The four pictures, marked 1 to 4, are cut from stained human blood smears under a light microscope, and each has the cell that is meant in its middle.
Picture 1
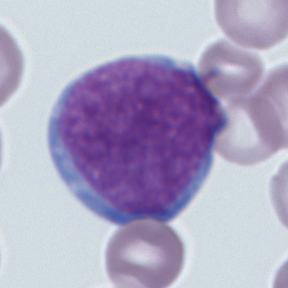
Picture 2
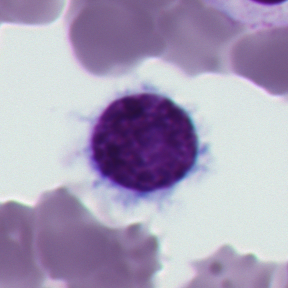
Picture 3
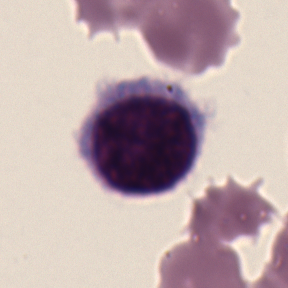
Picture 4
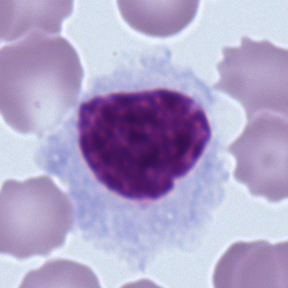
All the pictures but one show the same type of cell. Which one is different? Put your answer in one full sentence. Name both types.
The different one is picture 1; it shows a myeloblast, whereas all the others show hairy cells.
